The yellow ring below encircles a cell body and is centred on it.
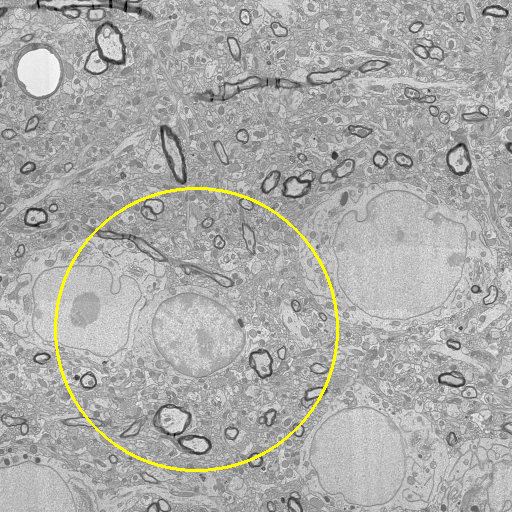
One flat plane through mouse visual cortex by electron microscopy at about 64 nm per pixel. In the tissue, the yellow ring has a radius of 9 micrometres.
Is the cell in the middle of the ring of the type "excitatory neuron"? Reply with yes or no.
no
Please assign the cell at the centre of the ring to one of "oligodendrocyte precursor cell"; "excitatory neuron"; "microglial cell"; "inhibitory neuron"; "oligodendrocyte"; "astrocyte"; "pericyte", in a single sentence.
Instead, the ring surrounds an oligodendrocyte in this picture.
